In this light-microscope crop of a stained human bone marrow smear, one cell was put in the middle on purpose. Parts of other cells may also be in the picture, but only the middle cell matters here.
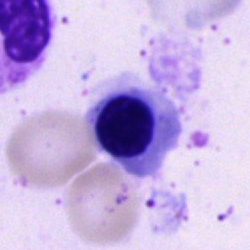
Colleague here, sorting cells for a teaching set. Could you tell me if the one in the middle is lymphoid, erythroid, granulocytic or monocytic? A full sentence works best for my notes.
The centered cell is a member of the erythroid lineage.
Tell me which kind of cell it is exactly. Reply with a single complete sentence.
The center cell of this crop is an erythroblast.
